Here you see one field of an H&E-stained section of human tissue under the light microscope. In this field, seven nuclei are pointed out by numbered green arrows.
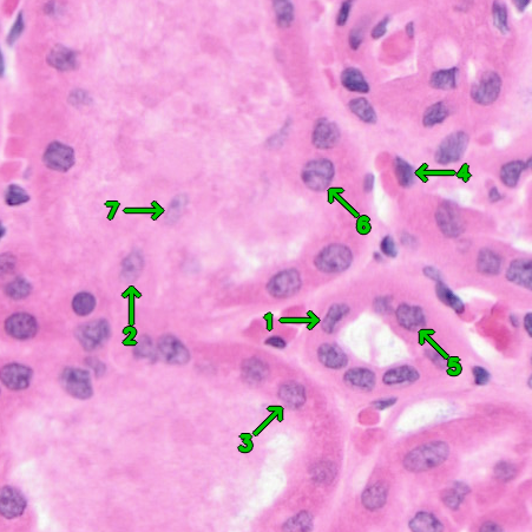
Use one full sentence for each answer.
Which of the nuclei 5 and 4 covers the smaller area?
Number 4 is smaller, since number 5 takes up about 1.5 times as much area.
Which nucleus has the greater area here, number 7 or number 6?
Nucleus 6 covers more area, about 1.5 times as much as nucleus 7.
